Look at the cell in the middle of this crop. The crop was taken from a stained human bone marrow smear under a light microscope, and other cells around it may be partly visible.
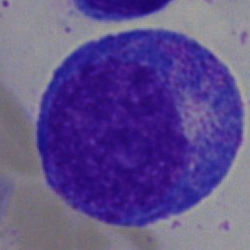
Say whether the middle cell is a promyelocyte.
yes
